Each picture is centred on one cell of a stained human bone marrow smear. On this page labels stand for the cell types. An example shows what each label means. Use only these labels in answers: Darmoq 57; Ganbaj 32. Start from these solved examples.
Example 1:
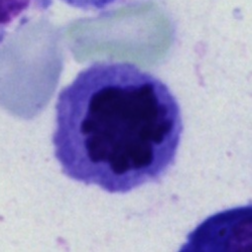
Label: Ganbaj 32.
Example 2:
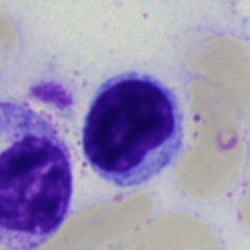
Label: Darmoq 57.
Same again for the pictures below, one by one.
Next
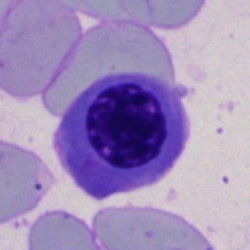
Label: Ganbaj 32.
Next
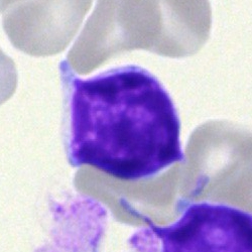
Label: Darmoq 57.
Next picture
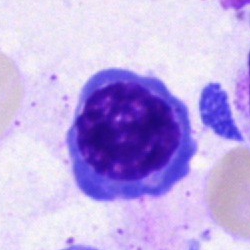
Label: Ganbaj 32.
